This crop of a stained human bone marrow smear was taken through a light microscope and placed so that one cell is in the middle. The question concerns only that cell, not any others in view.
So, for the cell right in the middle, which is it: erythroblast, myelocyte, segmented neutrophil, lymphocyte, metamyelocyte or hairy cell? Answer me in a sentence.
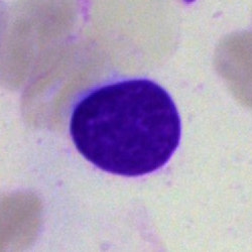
The centrally positioned cell in the crop represents a lymphocyte.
